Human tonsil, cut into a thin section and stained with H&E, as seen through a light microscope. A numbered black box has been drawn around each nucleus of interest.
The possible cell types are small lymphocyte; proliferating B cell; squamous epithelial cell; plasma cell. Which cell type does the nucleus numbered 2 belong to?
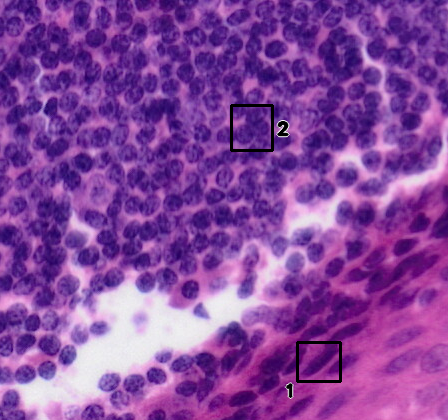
small lymphocyte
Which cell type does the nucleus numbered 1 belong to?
squamous epithelial cell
